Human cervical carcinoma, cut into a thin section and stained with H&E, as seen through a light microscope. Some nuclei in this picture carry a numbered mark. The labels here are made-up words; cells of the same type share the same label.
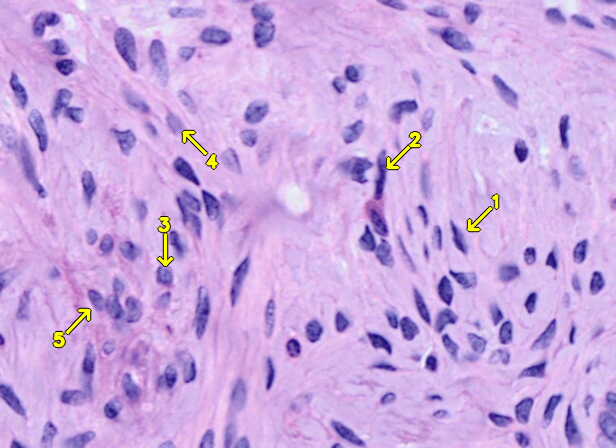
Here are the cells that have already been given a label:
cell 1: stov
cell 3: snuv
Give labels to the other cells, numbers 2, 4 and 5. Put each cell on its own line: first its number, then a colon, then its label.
2: stov
4: stov
5: snuv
